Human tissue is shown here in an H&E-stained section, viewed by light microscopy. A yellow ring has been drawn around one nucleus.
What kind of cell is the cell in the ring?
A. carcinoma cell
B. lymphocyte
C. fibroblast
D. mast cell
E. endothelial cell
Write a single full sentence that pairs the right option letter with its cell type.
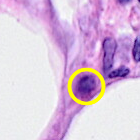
Here the right answer is D, with the cell in the ring being a mast cell.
